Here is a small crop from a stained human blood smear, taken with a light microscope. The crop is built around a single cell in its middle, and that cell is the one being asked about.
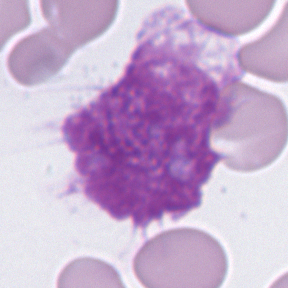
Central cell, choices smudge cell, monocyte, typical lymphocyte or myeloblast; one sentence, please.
Occupying the centre of the crop is a smudge cell.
